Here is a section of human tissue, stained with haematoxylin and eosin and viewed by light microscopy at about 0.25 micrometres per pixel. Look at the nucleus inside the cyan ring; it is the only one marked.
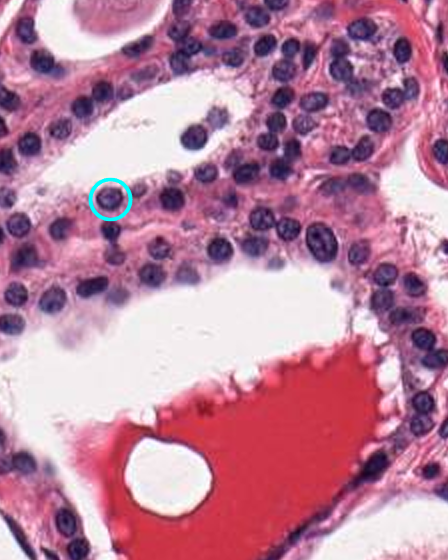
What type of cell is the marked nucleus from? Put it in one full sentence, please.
The nucleus picked out by the mark is that of a thyroid follicular cell.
